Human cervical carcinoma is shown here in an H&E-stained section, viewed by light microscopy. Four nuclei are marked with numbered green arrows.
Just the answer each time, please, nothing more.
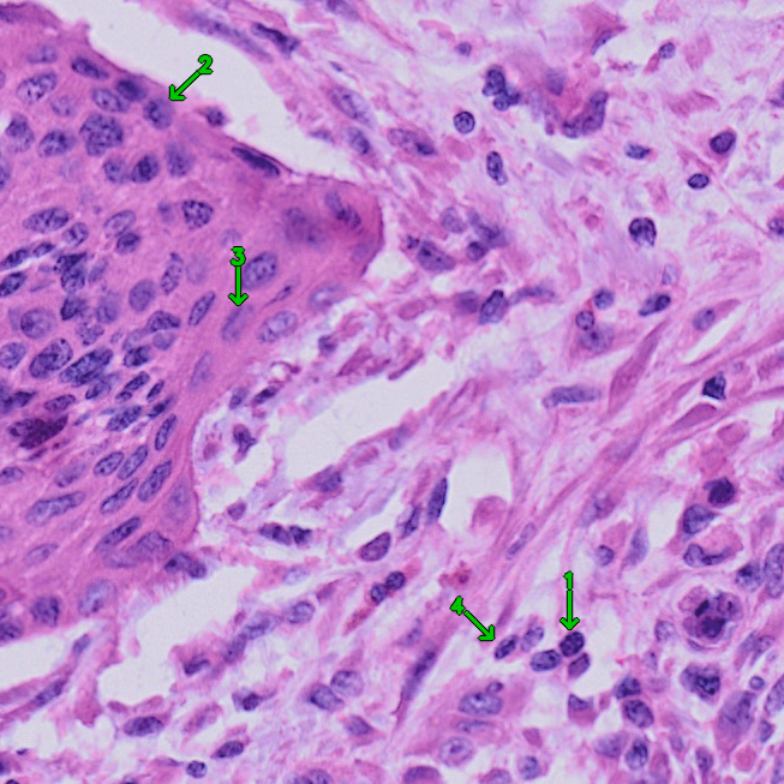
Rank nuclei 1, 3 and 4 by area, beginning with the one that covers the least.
4, 1, 3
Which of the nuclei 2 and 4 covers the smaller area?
4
